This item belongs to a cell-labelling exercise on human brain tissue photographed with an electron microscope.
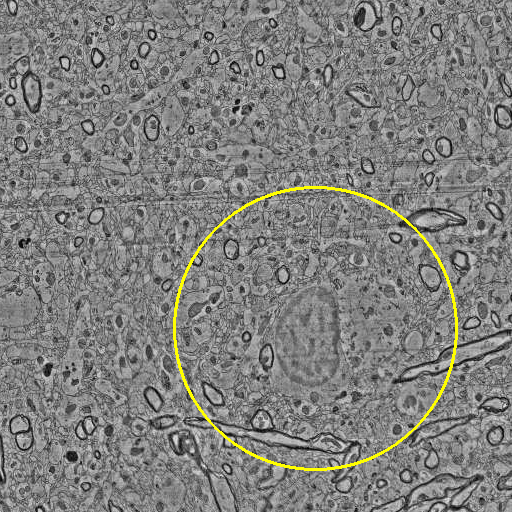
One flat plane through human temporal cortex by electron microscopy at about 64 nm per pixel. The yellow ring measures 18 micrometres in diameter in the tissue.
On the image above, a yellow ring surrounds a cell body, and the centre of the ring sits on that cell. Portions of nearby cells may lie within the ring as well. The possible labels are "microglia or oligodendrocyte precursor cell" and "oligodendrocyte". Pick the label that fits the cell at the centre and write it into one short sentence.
This cell should be labelled as an oligodendrocyte.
